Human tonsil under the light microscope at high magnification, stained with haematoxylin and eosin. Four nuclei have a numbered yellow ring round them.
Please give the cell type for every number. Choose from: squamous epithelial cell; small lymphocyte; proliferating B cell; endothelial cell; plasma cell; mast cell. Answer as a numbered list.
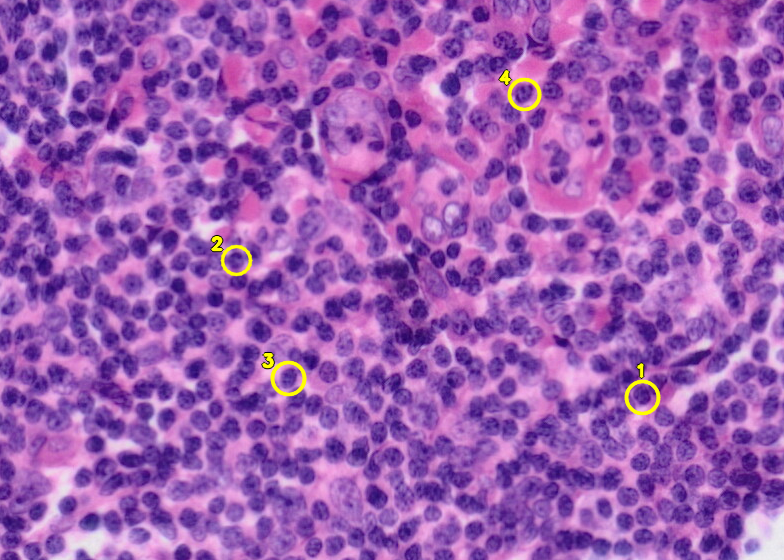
1. small lymphocyte
2. small lymphocyte
3. small lymphocyte
4. plasma cell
